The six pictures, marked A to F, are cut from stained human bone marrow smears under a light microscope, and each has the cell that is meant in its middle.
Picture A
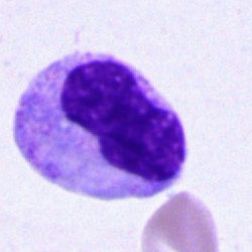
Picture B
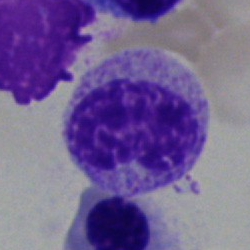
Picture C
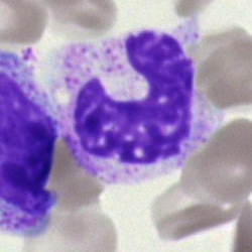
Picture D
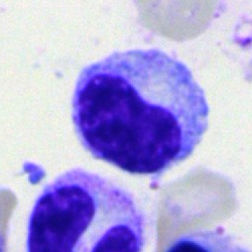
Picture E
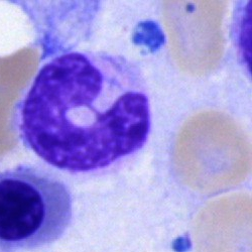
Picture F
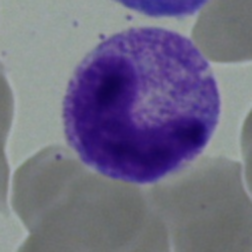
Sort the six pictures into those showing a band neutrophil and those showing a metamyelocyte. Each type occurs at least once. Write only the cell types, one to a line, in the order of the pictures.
metamyelocyte
metamyelocyte
band neutrophil
metamyelocyte
band neutrophil
band neutrophil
